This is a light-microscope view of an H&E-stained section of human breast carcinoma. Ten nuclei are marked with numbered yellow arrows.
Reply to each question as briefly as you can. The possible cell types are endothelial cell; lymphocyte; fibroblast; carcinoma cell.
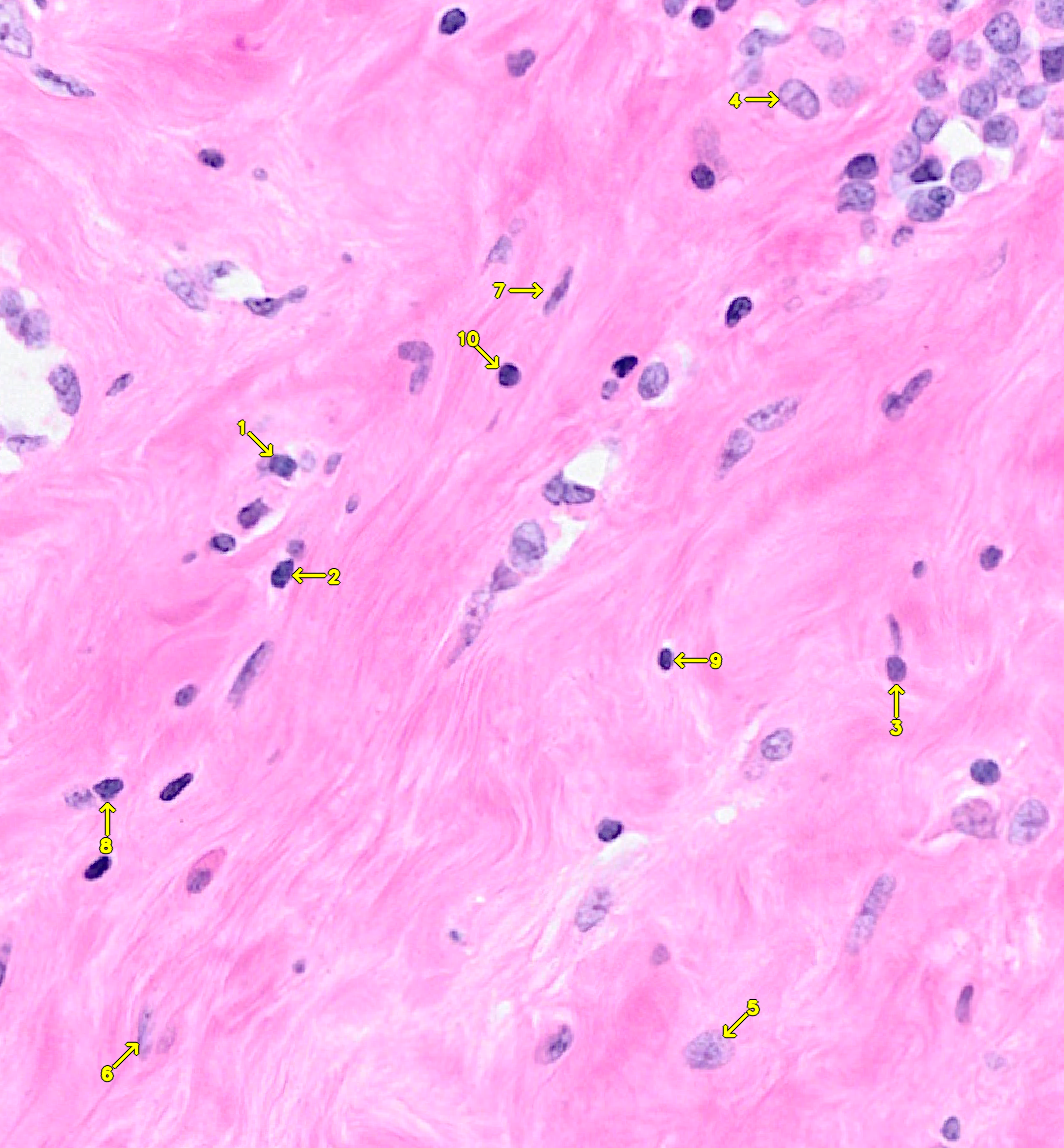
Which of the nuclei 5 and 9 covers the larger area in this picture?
5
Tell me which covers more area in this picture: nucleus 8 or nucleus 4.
4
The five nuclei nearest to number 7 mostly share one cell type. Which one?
lymphocyte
